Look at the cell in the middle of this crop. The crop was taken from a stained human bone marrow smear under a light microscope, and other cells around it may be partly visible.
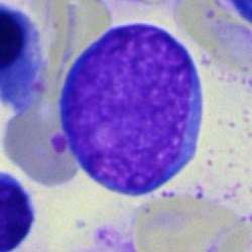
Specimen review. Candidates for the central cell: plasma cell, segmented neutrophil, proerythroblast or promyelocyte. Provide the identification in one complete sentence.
At the center of the crop sits a proerythroblast.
